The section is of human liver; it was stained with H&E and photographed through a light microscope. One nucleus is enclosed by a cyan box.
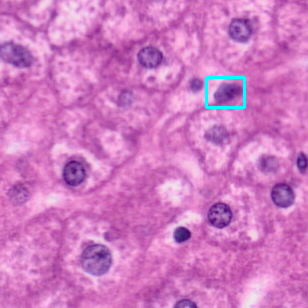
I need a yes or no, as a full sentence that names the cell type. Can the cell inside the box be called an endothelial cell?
Yes, identifying the cell inside the box as an endothelial cell is right.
